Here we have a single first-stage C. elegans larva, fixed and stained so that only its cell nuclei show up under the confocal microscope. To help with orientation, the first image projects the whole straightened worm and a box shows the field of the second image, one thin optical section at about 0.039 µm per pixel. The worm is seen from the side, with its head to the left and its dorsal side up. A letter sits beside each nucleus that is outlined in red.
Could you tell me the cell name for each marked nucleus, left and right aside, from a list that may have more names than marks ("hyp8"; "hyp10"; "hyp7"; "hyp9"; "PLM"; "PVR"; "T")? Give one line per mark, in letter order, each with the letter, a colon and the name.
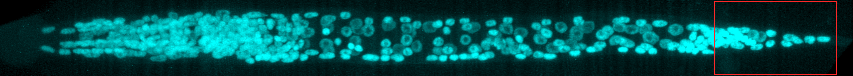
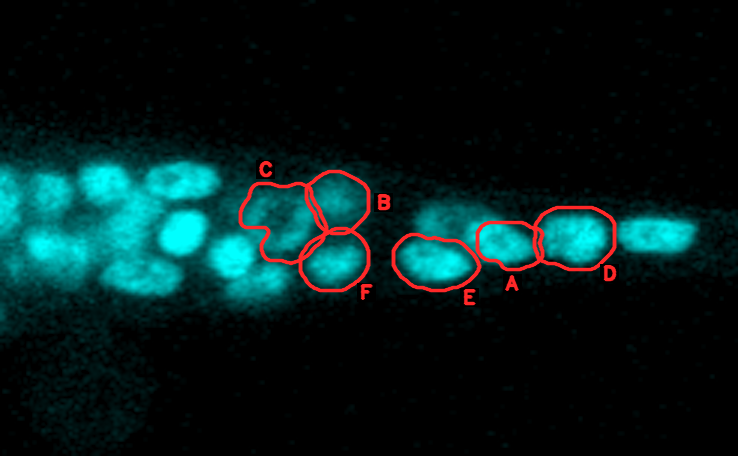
A: hyp9
B: PVR
C: T
D: hyp10
E: hyp8
F: hyp7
